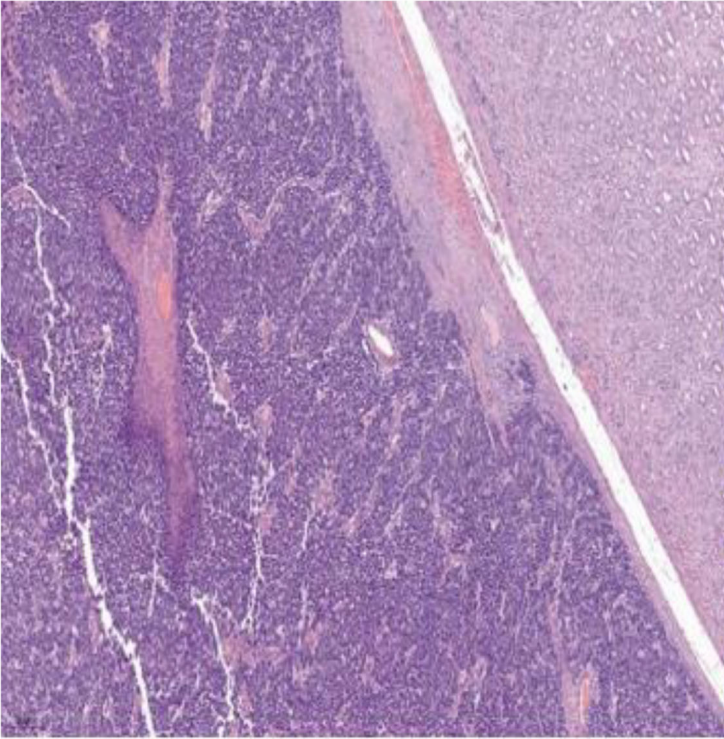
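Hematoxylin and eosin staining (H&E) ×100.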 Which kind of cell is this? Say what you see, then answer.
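Dense sheets of closely packed cells with dark blue-purple nuclei fill most of the field. Little intervening stroma between the cells except thin pink septa and small vessels. So: small round blue cells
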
